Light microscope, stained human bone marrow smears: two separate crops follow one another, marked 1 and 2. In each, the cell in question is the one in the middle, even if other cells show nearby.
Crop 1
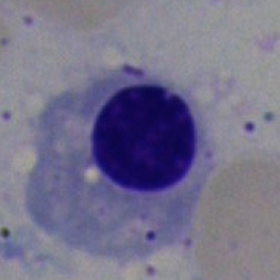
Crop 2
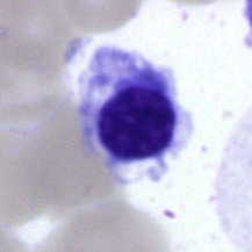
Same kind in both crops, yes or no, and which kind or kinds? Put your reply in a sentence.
Yes, the middle cells in the two crops are normoblasts.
